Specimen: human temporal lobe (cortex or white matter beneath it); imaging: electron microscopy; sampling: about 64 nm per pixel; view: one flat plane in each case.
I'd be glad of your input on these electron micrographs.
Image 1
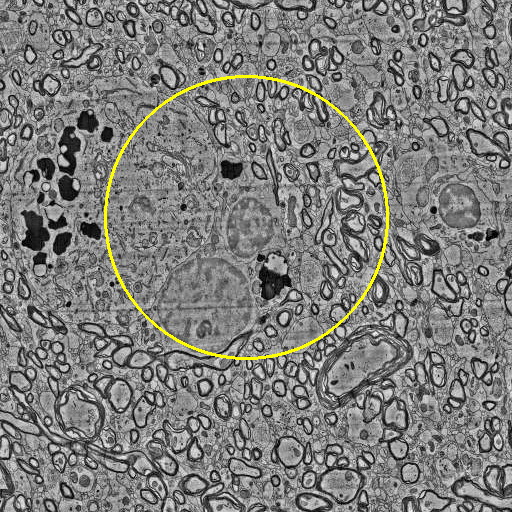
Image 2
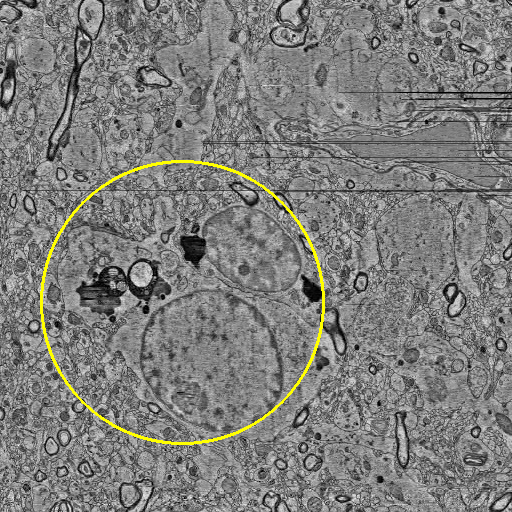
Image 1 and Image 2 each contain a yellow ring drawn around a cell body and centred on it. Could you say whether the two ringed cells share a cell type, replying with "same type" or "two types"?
two types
